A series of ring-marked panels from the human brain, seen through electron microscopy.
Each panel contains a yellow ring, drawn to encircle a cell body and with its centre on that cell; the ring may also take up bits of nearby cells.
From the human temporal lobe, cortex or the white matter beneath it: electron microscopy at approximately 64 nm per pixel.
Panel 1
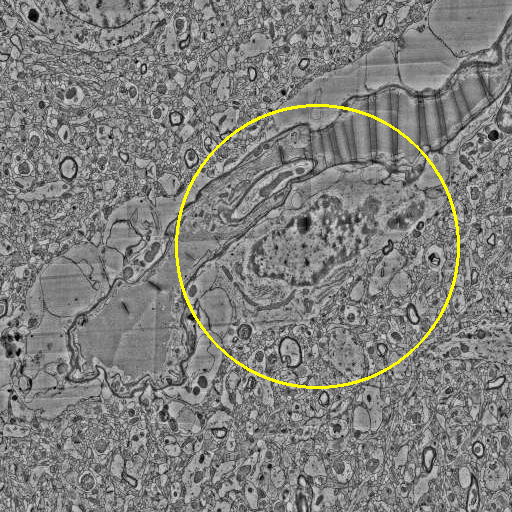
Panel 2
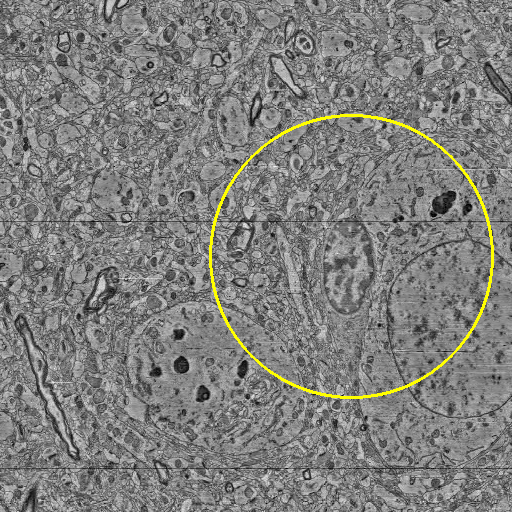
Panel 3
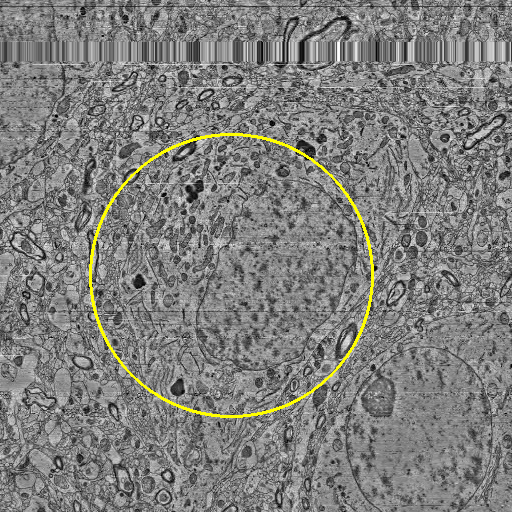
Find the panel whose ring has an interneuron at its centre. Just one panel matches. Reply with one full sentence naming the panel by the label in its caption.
The sought cell lies at the centre of the ring shown in Panel 3.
